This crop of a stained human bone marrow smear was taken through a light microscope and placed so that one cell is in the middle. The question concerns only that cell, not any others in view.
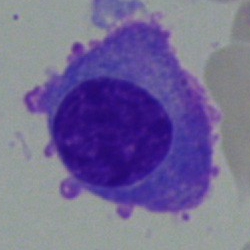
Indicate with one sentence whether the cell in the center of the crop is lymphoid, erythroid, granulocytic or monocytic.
The cell in the middle of the crop is considered part of the lymphoid lineage.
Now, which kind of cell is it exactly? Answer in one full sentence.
The crop's centre is taken up by a plasma cell.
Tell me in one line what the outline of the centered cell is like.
This cell has an uneven outline, either ragged or bearing projections.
